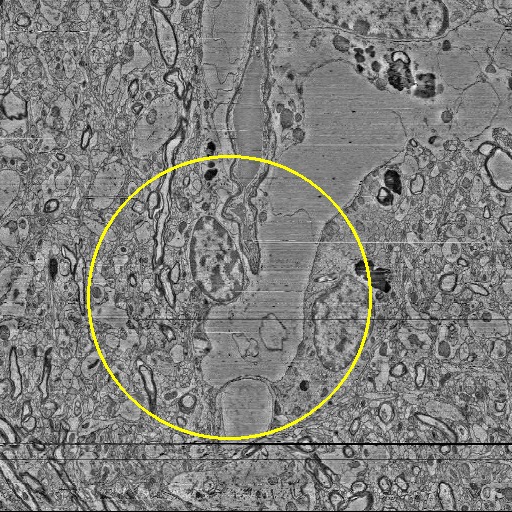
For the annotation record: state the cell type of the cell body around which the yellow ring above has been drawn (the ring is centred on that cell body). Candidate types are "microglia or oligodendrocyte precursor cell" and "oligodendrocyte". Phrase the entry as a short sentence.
The ringed cell is a microglial cell or oligodendrocyte precursor cell.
